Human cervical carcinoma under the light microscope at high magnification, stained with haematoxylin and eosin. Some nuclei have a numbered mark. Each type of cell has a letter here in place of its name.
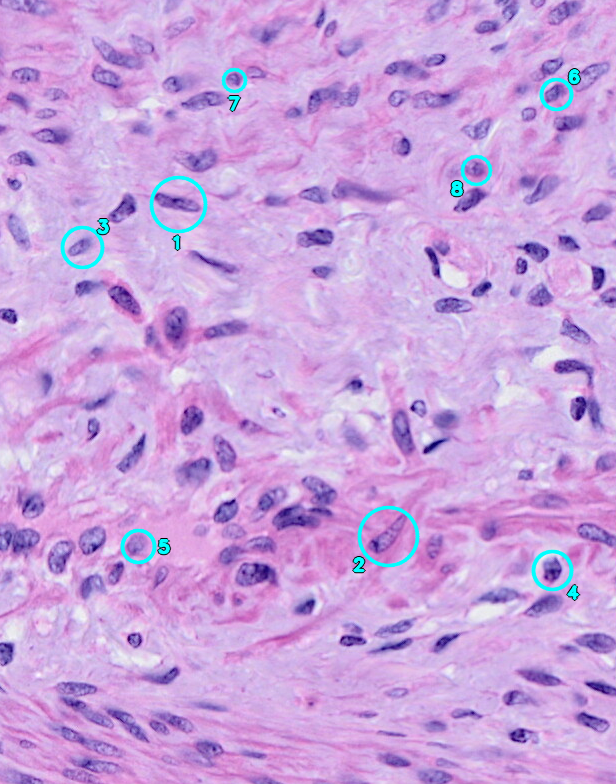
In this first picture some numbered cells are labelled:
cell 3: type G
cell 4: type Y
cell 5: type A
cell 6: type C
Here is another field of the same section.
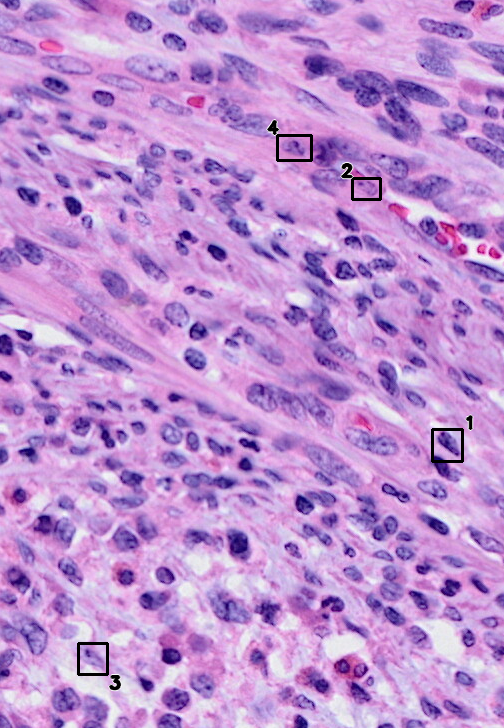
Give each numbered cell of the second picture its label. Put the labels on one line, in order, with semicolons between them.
type Y; type A; type G; type A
